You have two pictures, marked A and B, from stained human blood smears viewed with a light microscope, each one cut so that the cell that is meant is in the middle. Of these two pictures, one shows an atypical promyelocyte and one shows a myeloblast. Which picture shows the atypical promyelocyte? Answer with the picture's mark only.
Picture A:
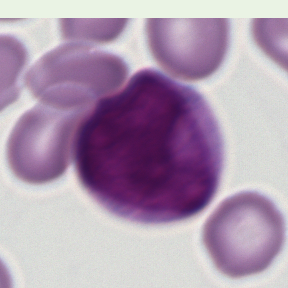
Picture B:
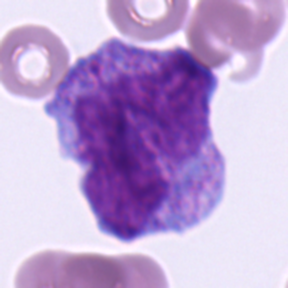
B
